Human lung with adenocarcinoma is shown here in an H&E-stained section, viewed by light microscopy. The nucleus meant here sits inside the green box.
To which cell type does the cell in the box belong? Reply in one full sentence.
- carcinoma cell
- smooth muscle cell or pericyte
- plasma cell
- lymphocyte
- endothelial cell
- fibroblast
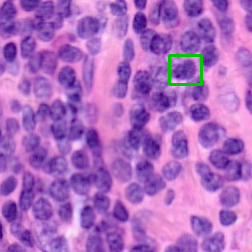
In the context of this tissue, the cell in the box is a lymphocyte.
